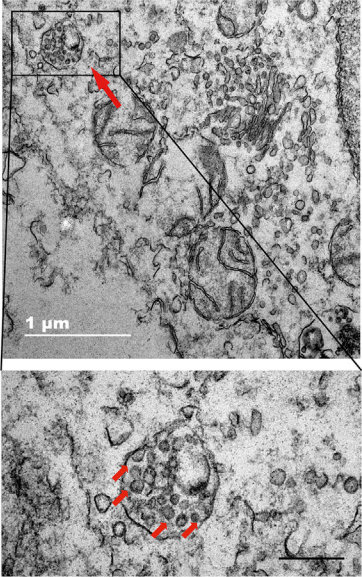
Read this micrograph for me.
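In the upper left a red arrow marks a rounded membrane-bound compartment, enlarged below. Inside it lie small vesicles, pointed out by short red marks. Such a compartment with vesicles inside it is a multivesicular body holding intraluminal vesicles.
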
